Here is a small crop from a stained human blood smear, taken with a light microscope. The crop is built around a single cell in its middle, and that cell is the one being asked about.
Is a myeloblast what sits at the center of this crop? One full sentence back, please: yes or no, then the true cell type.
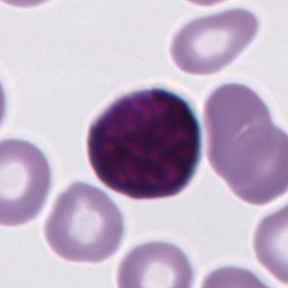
Yes, the centre of the crop holds a myeloblast.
